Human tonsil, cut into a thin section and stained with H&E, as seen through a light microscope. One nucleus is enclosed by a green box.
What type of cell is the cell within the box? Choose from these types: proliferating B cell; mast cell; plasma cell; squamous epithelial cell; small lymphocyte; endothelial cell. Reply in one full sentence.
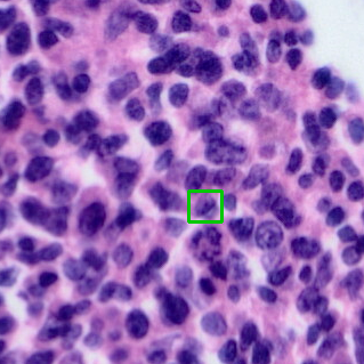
As a matter of cell type, the cell within the box is a proliferating B cell.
